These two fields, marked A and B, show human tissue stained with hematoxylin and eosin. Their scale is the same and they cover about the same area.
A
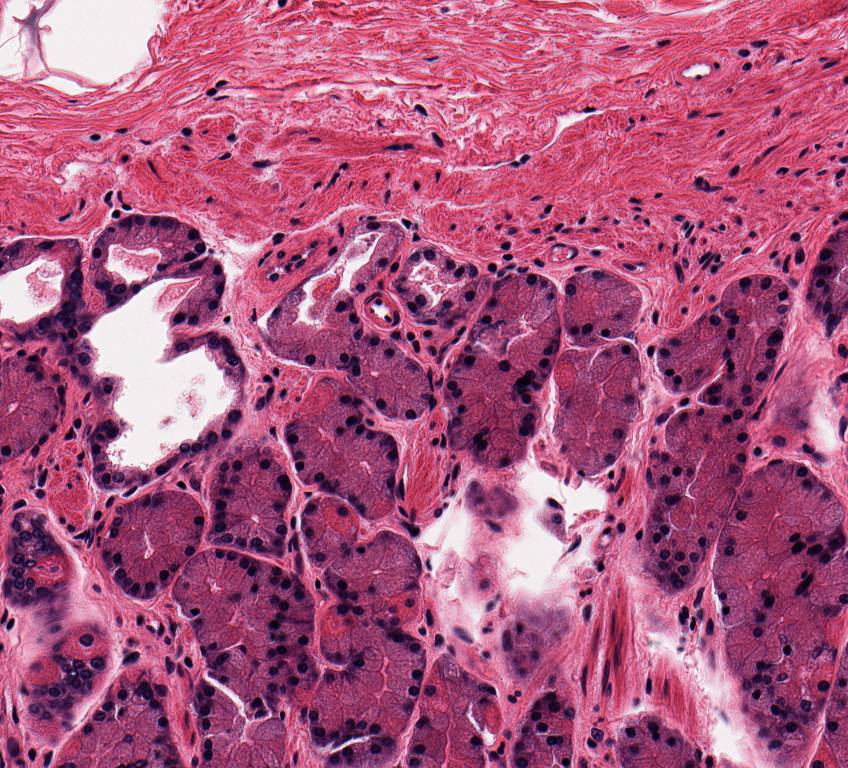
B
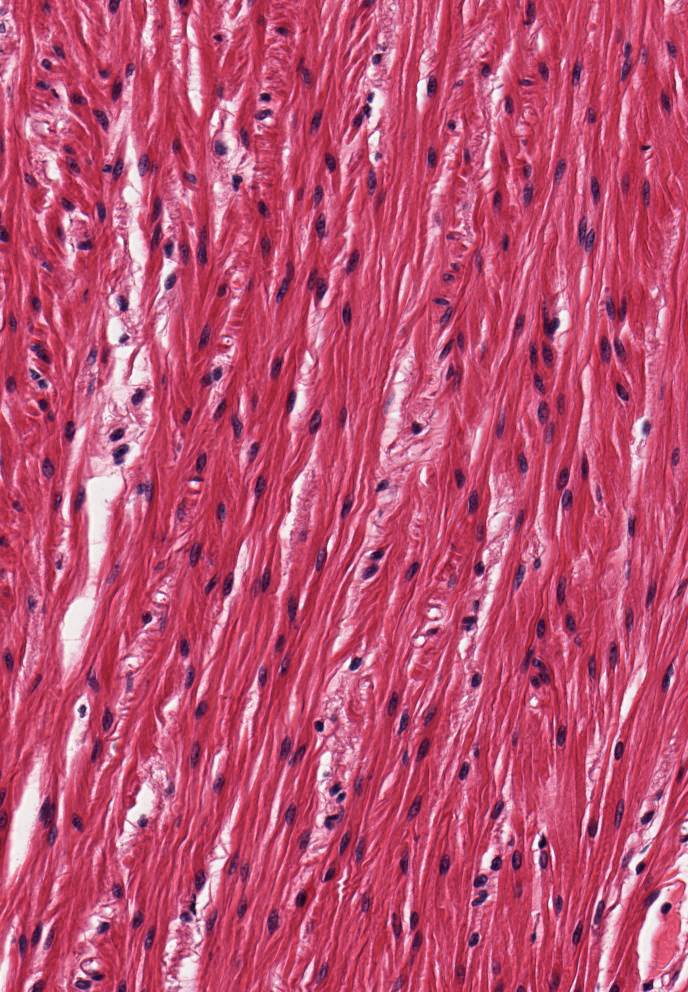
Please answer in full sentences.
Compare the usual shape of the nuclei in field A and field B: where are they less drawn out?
The nuclei are rounder in field A.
